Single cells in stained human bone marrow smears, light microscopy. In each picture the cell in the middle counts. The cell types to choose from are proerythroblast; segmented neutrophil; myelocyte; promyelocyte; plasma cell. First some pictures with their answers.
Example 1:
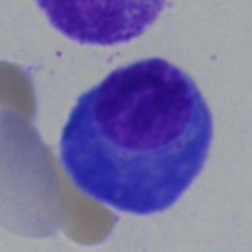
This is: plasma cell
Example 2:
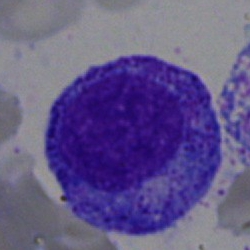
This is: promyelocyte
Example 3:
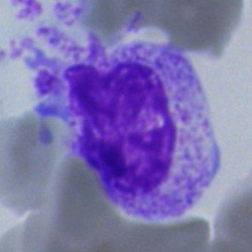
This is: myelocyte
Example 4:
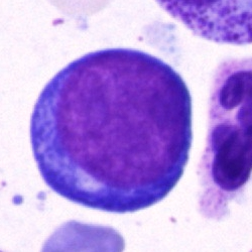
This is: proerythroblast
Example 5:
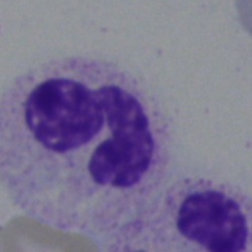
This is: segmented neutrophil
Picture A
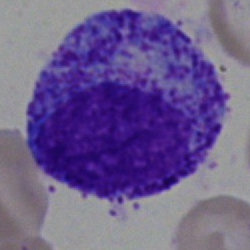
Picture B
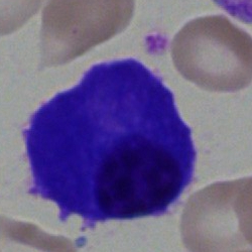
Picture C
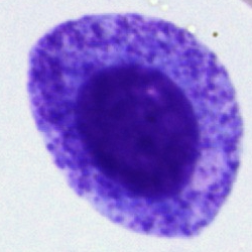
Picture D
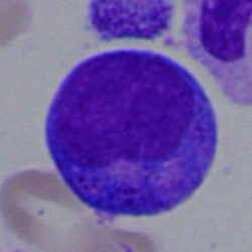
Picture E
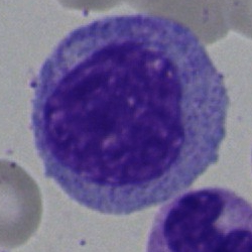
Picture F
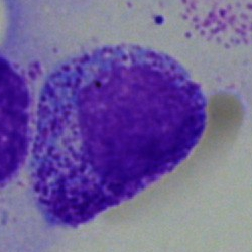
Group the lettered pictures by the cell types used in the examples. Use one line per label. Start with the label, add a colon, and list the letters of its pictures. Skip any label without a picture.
myelocyte: F
promyelocyte: A, C, D, E
plasma cell: B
